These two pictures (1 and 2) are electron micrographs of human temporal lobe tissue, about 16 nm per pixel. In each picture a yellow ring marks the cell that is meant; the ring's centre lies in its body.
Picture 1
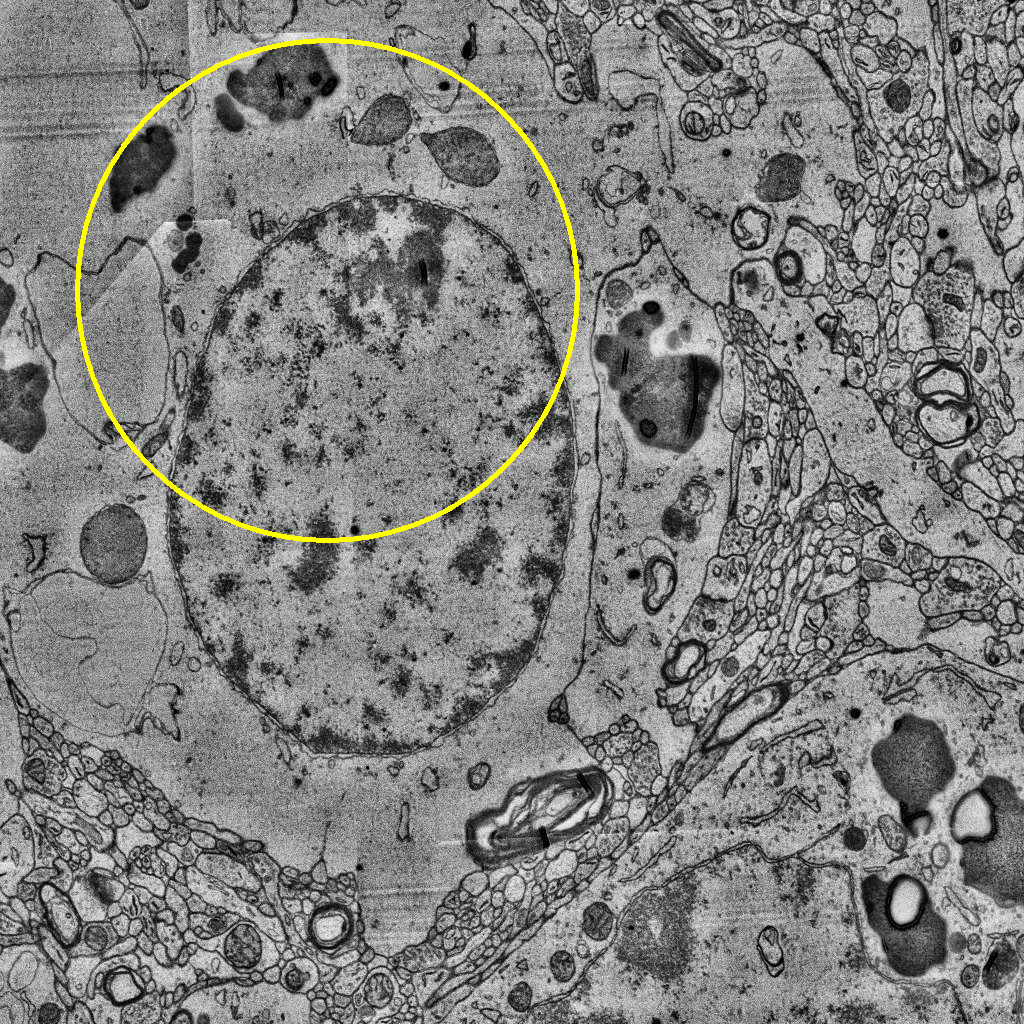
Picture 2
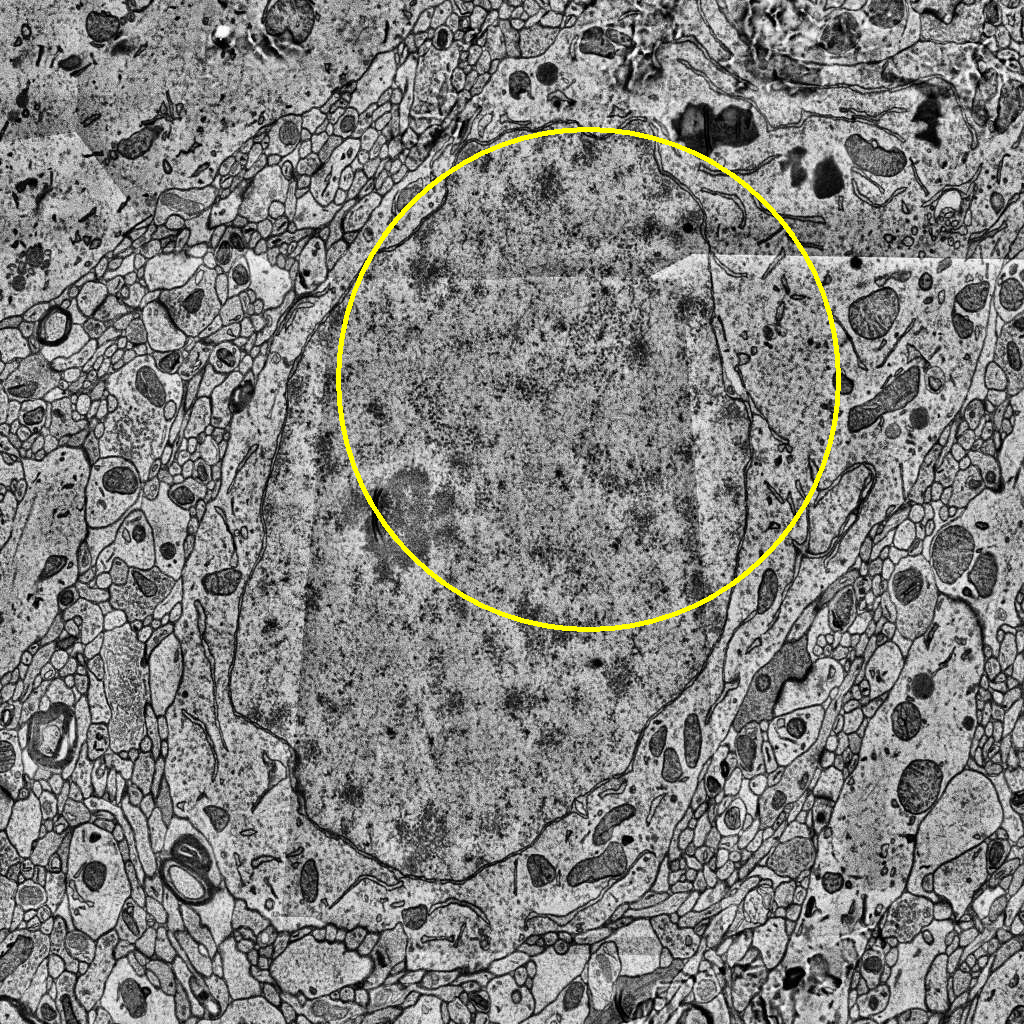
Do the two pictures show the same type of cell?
No; the cell in picture 1 is an astrocyte, while the one in picture 2 is an interneuron.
